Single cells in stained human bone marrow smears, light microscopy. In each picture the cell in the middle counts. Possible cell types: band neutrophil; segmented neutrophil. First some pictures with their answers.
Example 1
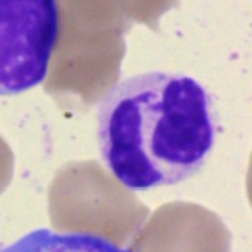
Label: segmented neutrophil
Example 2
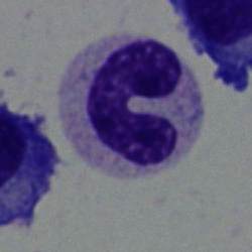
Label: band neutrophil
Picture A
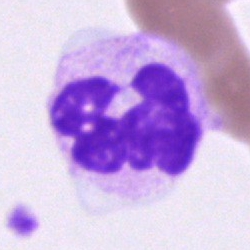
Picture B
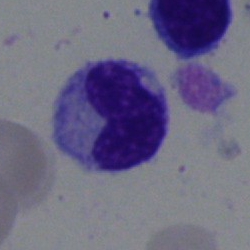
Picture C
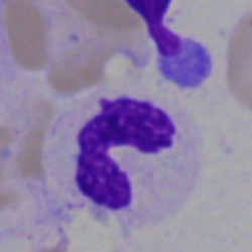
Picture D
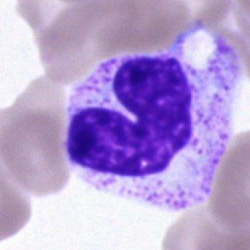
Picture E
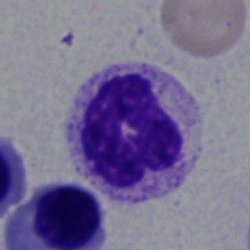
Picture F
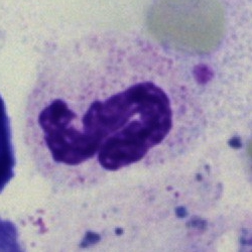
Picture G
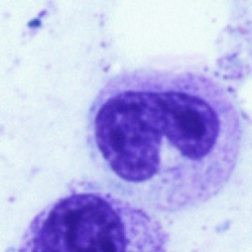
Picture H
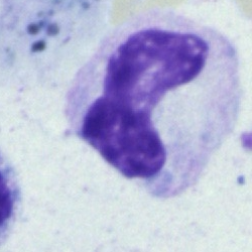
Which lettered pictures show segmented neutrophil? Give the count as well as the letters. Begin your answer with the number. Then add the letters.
3, namely A, C, F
